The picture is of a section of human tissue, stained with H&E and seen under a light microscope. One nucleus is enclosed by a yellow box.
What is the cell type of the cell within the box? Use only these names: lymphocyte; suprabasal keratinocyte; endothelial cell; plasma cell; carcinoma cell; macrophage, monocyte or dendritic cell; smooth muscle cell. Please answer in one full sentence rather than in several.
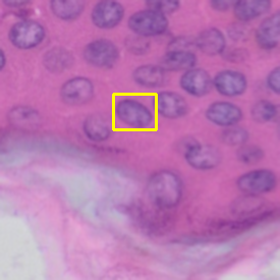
What the cell within the box represents is a suprabasal keratinocyte.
